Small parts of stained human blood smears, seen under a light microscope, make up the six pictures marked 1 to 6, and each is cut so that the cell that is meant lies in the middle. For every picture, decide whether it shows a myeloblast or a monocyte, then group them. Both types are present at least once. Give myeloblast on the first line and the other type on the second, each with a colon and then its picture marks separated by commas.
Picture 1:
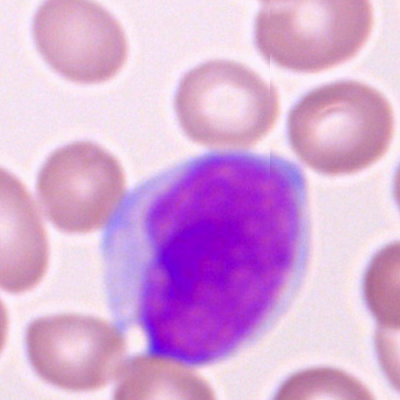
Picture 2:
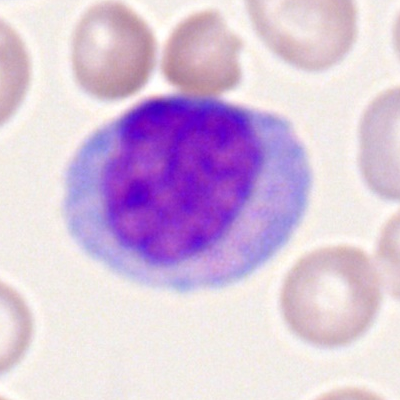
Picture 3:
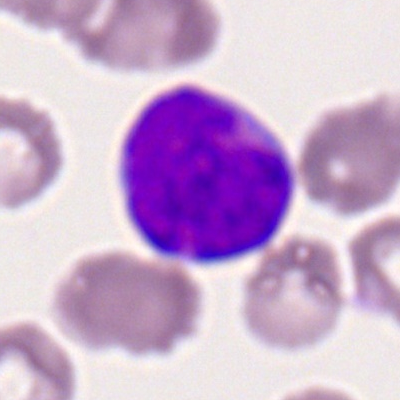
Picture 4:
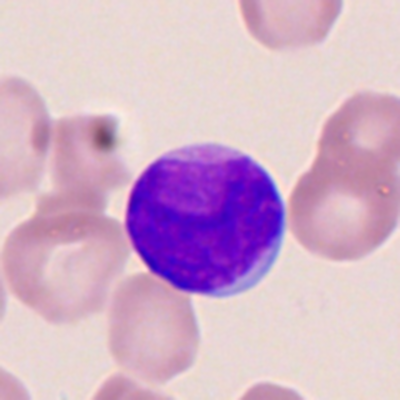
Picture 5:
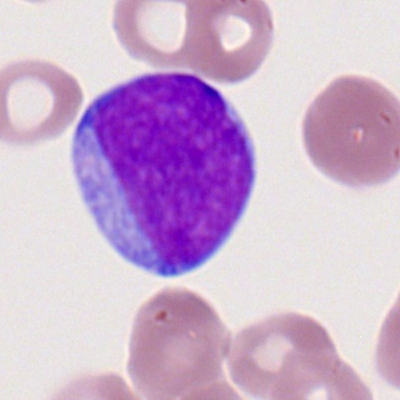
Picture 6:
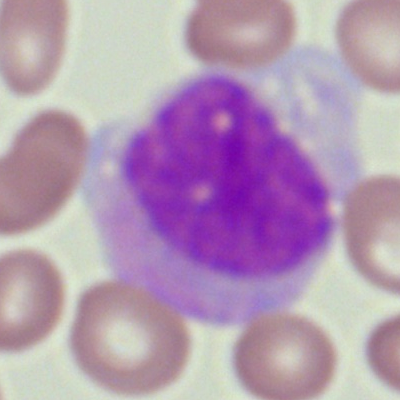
myeloblast: 1, 3, 4, 5
monocyte: 2, 6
